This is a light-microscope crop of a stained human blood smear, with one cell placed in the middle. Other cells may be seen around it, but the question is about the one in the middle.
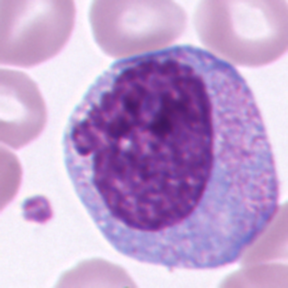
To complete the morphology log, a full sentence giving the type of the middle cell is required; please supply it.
Where the crop is centred, there is a promyelocyte.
